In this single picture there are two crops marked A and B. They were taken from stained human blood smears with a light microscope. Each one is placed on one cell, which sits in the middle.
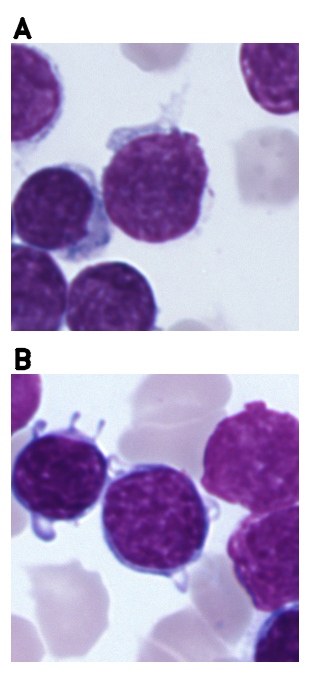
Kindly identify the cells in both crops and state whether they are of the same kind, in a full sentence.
Yes, in both crops the centred cells are myeloblasts.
